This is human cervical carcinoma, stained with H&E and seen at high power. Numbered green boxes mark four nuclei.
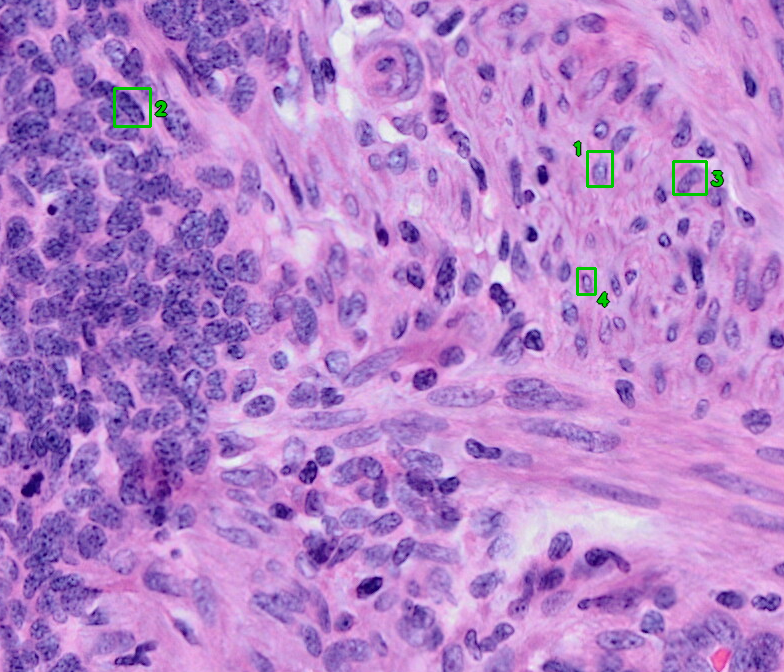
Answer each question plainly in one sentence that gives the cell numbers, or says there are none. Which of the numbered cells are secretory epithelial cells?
Nowhere among the numbered cells do secretory epithelial cells occur.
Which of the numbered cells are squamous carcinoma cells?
Being a squamous carcinoma cell is true of cell 2 and of no other numbered cell.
